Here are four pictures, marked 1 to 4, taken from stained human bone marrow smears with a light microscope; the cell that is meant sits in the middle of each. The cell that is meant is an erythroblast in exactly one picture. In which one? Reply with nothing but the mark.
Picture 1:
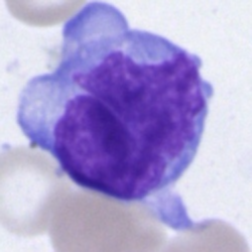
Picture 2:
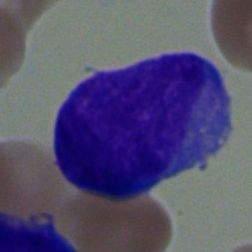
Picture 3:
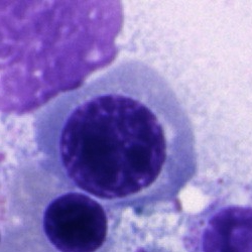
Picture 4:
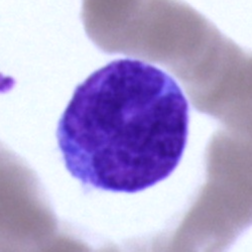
3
